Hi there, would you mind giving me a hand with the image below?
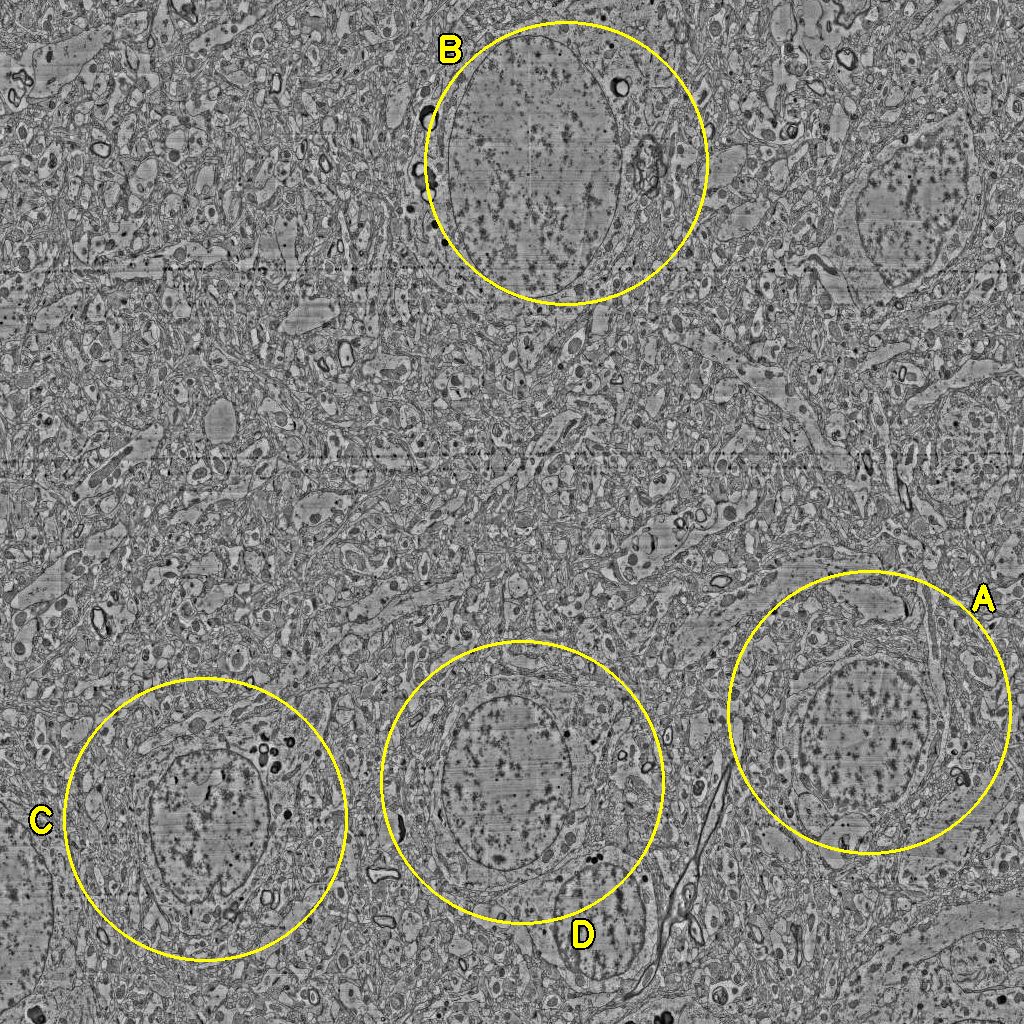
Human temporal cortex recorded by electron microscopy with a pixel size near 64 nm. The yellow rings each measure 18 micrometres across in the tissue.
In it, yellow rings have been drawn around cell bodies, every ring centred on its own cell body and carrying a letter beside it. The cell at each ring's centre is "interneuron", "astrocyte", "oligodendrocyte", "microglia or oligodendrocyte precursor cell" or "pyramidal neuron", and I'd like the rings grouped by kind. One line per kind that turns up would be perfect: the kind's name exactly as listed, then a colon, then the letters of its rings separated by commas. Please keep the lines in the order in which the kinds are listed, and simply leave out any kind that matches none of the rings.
interneuron: A
pyramidal neuron: B, C, D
